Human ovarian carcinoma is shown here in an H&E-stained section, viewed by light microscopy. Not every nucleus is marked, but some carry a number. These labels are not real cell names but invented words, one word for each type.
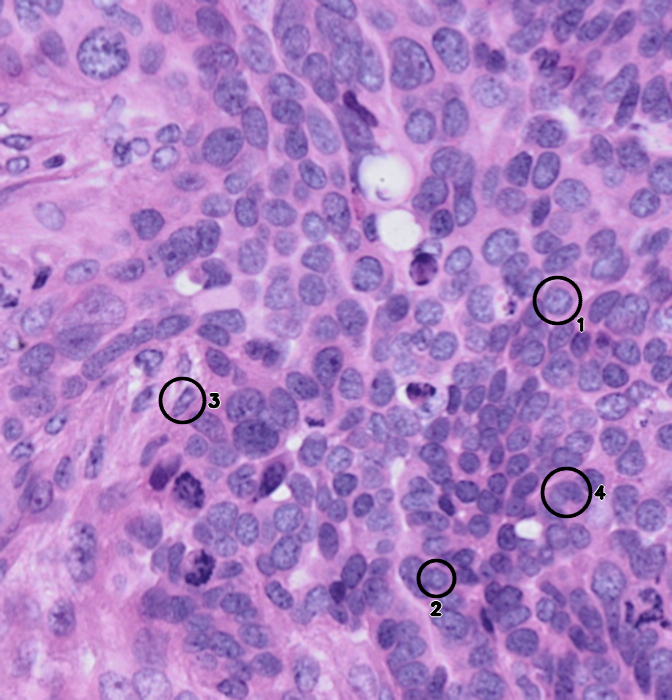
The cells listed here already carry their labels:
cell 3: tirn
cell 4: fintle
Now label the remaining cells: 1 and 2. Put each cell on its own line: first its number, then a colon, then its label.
1: fintle
2: fintle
